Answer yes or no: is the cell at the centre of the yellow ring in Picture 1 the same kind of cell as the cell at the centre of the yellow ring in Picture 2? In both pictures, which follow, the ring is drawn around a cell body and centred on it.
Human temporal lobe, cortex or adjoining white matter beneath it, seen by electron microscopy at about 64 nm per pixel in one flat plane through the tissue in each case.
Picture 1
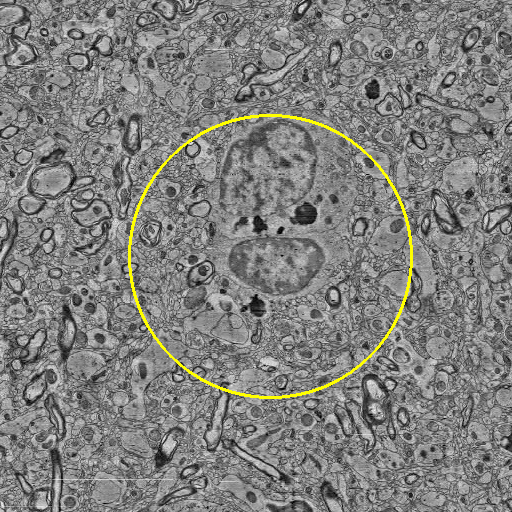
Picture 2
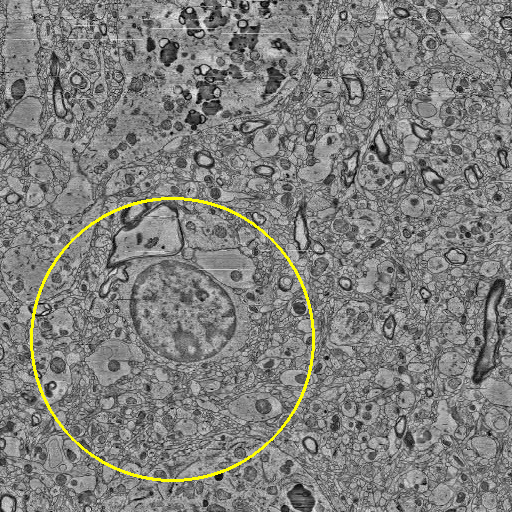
yes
